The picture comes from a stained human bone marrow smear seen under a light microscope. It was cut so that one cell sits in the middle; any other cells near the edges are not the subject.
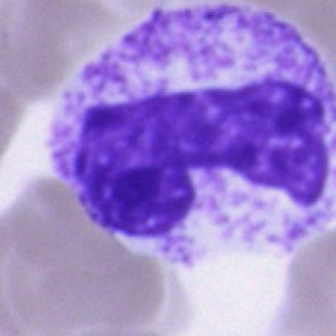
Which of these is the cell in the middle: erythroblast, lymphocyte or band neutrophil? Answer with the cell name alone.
band neutrophil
